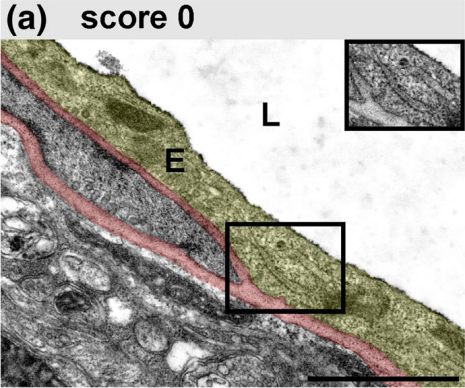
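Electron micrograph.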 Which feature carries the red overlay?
Vascular basement membranes.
